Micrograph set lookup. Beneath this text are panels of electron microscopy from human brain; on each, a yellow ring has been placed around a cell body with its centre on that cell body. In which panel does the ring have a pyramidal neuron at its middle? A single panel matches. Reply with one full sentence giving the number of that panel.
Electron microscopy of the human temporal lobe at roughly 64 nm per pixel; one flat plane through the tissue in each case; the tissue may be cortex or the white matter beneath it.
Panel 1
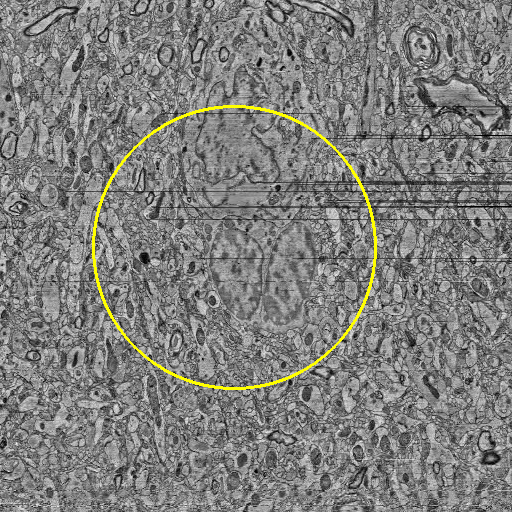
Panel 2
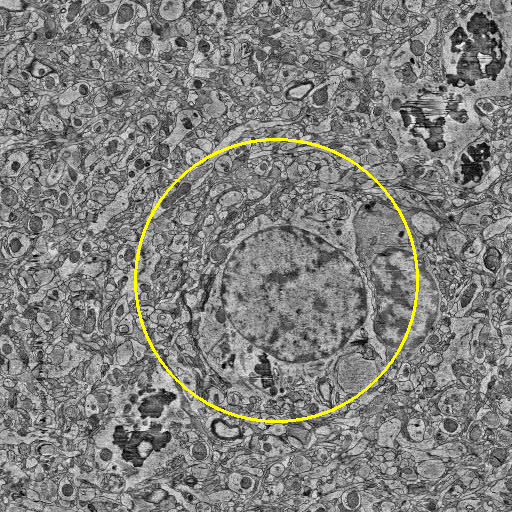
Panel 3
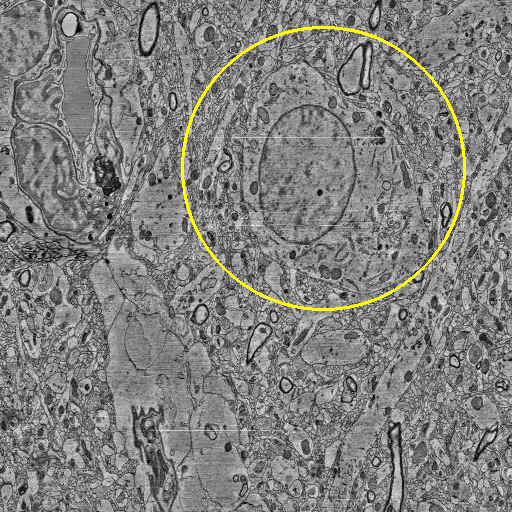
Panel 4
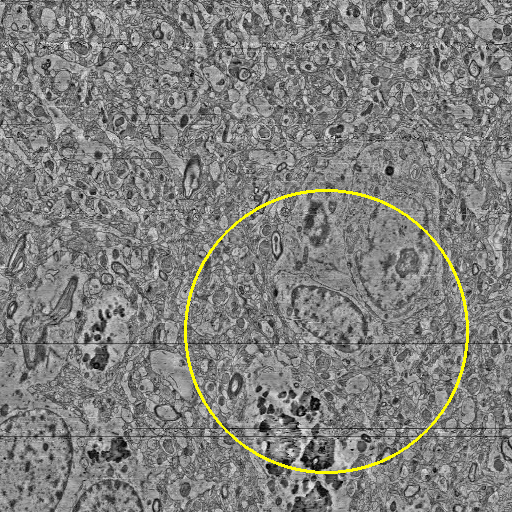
Panel 3 is the one whose ring has the sought cell at its centre.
